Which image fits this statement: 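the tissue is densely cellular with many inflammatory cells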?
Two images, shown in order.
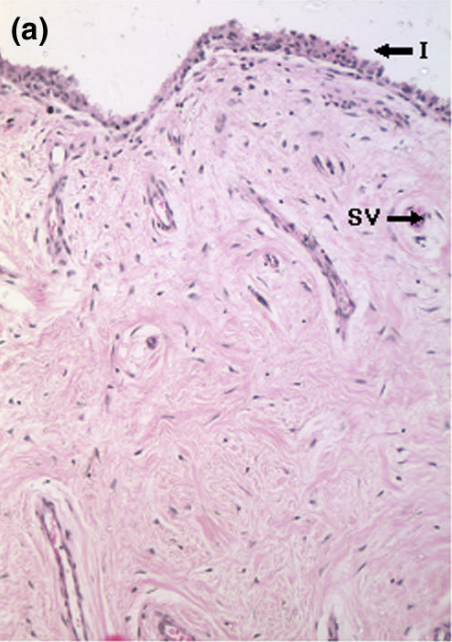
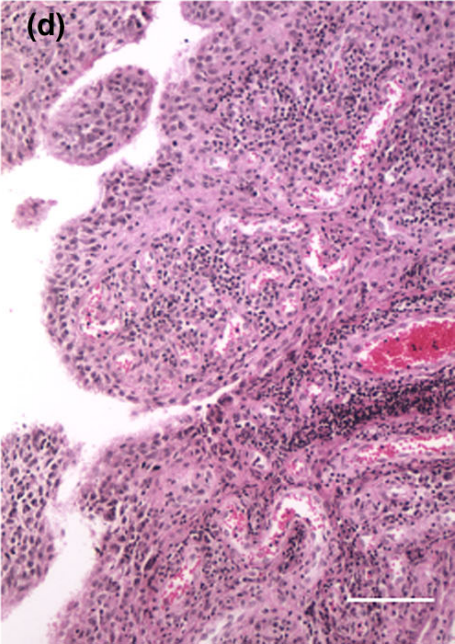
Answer: the second image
